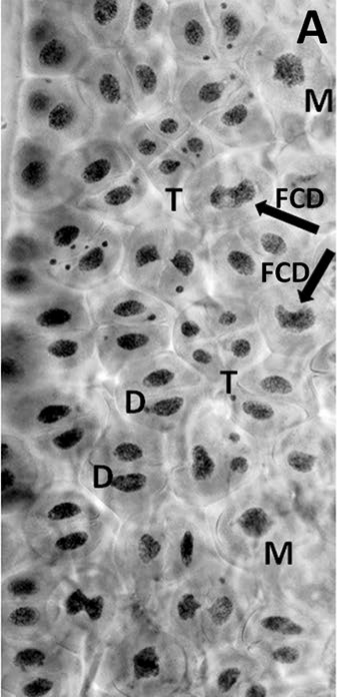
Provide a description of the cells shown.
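A tightly packed column of pale, polygonal cells, each with one or more dark, finely granular nuclei. Some cells stay undivided with a single nucleus, others are split by a thin wall into two cells, and some into four small cells. These are meiocytes at the end of meiosis, a mixture of monads, dyads and tetrads rather than the uniform tetrads of a regular division.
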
